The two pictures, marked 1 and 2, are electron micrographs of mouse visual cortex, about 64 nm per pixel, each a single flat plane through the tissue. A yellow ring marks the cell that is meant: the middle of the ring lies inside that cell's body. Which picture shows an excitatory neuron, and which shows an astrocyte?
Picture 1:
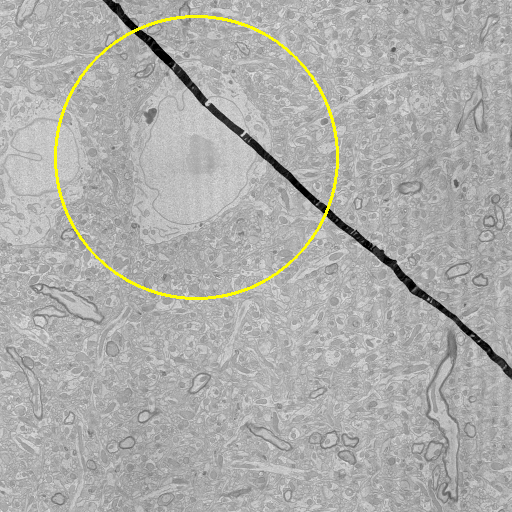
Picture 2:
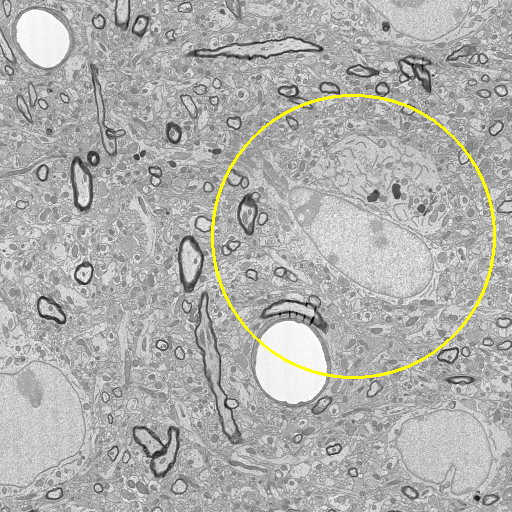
In picture 1 the cell is an excitatory neuron; in picture 2, an astrocyte.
